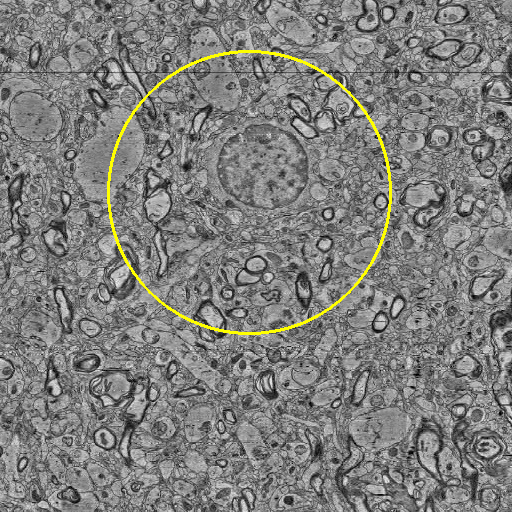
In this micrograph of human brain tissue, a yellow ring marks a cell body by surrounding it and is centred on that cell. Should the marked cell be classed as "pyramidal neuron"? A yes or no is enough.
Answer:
no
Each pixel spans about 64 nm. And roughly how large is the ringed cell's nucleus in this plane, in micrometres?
In this plane the ringed cell's nucleus is roughly 6 micrometres across.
